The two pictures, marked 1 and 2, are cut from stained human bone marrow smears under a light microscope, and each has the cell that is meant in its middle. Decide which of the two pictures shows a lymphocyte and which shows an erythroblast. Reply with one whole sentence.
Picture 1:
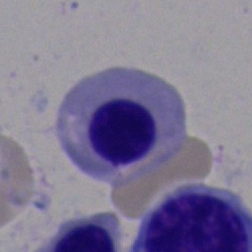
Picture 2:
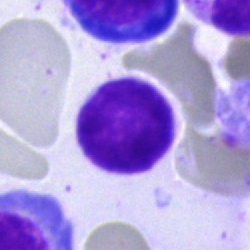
Picture 1 shows an erythroblast and picture 2 shows a lymphocyte.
